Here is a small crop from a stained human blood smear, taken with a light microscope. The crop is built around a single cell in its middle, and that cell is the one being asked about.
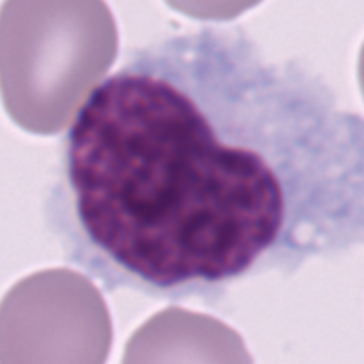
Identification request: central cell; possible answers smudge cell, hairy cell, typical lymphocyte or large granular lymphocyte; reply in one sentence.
The cell centred in this crop is categorized as a hairy cell.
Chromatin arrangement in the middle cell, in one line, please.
In this cell the chromatin is fine rather than coarsely clumped.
